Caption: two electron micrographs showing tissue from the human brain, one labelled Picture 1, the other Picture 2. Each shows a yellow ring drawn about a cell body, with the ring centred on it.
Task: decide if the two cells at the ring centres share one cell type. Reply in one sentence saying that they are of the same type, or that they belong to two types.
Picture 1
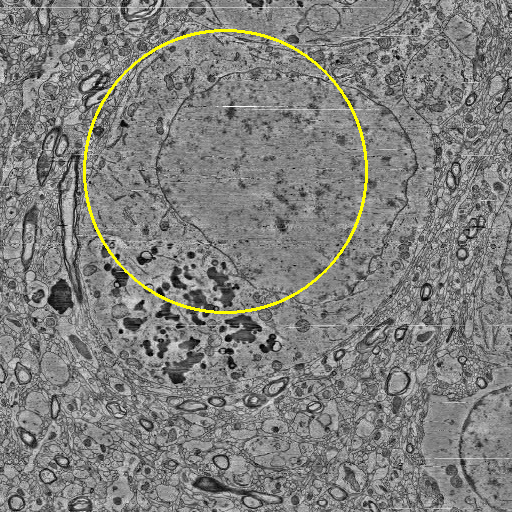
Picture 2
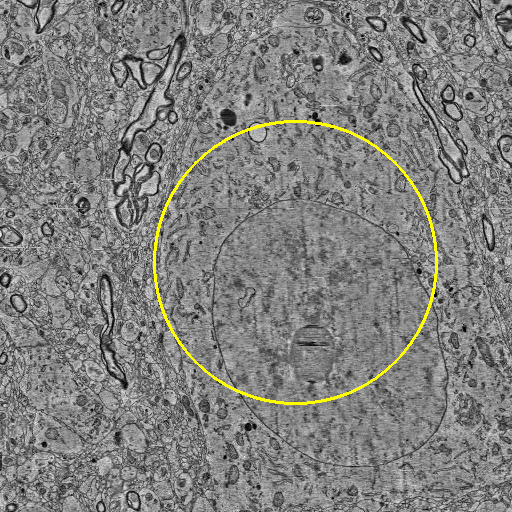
The cells at the ring centres in Picture 1 and Picture 2 are of the same type.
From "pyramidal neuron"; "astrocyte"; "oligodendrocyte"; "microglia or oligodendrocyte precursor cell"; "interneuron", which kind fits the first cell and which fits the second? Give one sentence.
The second cell is a pyramidal neuron, just as the first is.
